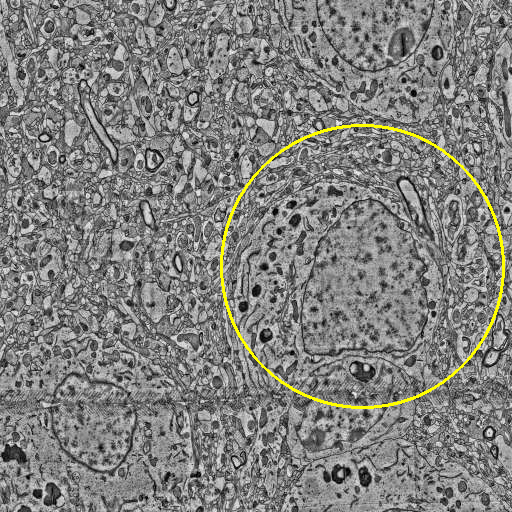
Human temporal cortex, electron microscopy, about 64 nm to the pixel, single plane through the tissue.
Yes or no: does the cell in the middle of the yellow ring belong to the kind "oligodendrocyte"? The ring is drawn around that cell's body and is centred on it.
no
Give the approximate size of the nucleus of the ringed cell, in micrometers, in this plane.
Approximately 10 by 8 micrometers in this plane.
